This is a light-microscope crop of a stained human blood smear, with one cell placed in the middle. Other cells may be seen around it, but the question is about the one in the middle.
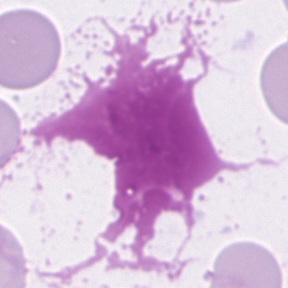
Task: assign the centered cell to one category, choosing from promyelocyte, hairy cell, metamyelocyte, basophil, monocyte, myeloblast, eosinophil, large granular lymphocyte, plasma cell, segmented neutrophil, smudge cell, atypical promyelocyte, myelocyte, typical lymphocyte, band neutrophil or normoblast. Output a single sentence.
The central cell in this smear crop is a smudge cell.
